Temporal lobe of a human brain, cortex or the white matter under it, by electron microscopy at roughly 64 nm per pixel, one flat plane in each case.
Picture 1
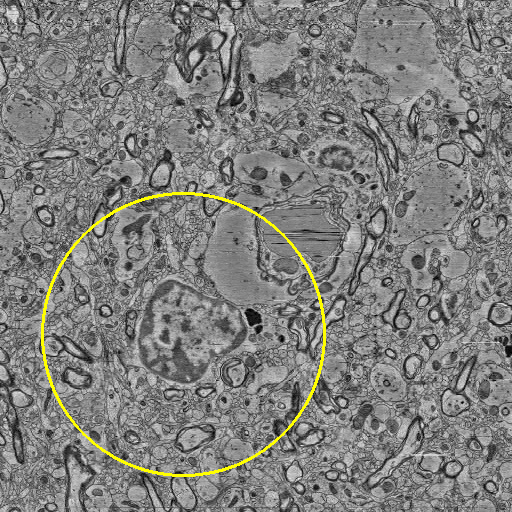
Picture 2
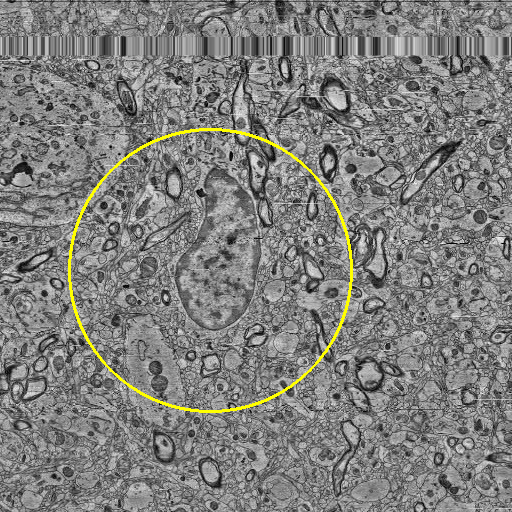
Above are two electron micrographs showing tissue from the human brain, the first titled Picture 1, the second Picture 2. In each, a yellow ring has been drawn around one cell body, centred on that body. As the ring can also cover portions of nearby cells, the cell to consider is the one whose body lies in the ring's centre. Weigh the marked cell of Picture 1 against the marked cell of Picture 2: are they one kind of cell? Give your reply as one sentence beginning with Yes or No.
Yes, the two cells sitting at the ring centres in the pictures are of one kind.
